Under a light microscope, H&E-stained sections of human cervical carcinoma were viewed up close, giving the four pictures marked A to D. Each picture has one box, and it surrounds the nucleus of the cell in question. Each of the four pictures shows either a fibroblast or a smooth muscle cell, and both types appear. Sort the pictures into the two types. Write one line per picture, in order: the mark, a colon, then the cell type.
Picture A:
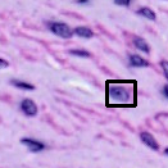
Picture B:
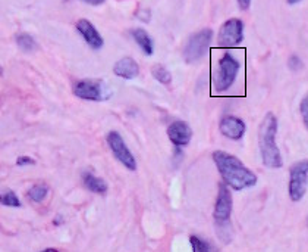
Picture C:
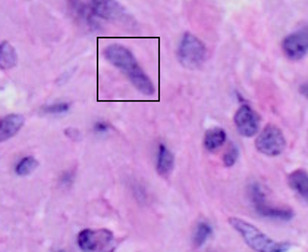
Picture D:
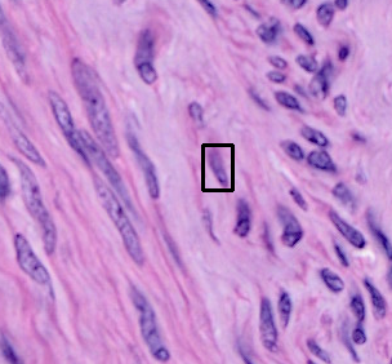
A: smooth muscle cell
B: fibroblast
C: fibroblast
D: smooth muscle cell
